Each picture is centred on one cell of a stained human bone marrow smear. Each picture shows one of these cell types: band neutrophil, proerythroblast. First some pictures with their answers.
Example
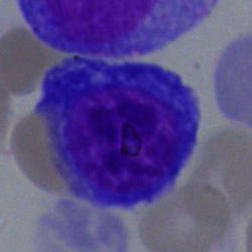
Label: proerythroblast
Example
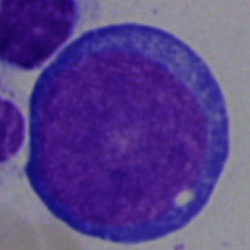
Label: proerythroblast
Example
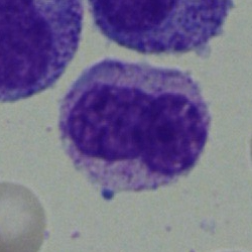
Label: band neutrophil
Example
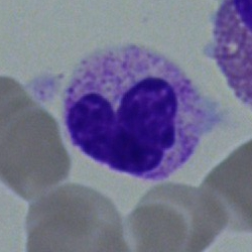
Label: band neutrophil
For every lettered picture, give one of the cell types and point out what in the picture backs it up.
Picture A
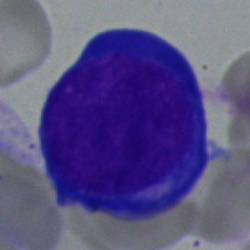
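proerythroblast. Reason: The cytoplasm is a scant rim stained deep blue.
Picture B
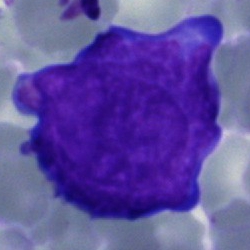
proerythroblast. Reason: The nucleus fills most of the cell.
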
